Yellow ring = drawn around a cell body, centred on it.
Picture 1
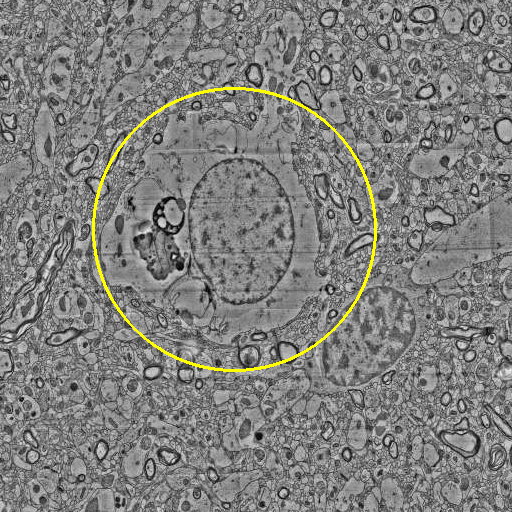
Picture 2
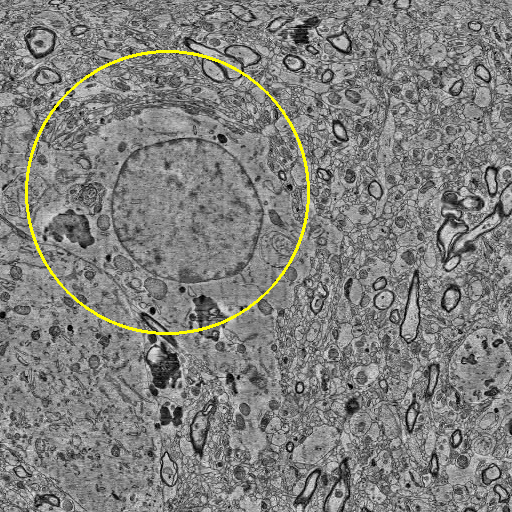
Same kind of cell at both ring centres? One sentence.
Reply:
Yes, they are the same kind of cell.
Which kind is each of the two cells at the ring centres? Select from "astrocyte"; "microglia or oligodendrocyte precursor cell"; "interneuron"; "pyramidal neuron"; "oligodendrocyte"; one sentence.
Each of the two rings surrounds an astrocyte.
